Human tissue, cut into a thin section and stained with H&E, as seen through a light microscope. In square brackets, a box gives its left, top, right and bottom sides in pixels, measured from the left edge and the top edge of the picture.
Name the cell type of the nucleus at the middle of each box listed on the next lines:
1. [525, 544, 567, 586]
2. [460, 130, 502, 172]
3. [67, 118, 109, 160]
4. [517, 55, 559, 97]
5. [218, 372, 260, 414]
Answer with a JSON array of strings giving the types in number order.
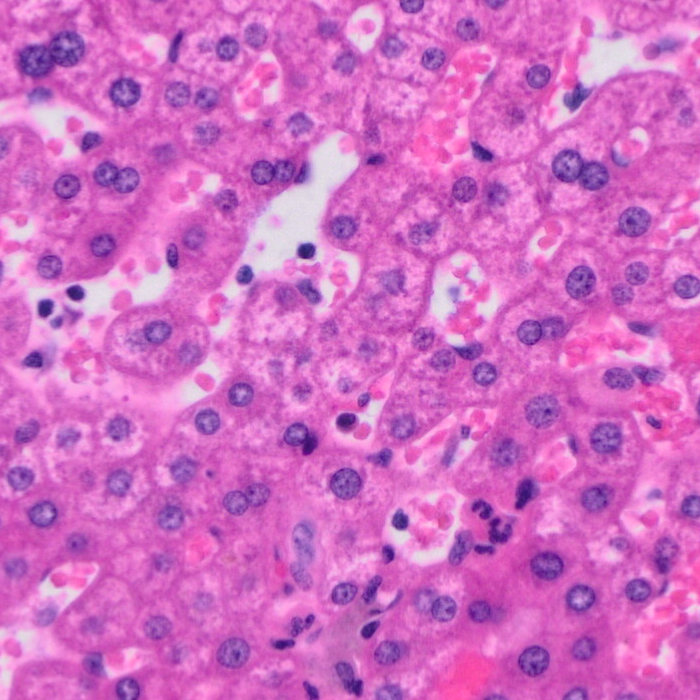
["hepatocyte", "fibroblast or stellate cell", "Kupffer cell", "hepatocyte", "hepatocyte"]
